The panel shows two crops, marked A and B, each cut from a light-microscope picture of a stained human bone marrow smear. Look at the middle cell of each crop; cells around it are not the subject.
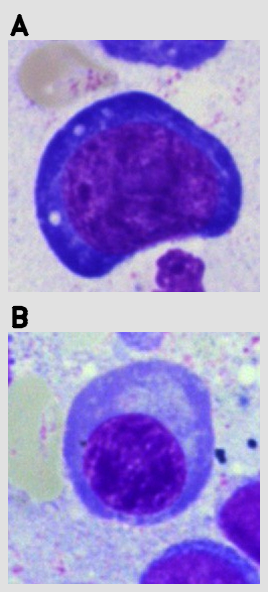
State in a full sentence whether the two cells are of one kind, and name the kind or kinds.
No, record crop A as a proerythroblast and crop B as a plasma cell.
